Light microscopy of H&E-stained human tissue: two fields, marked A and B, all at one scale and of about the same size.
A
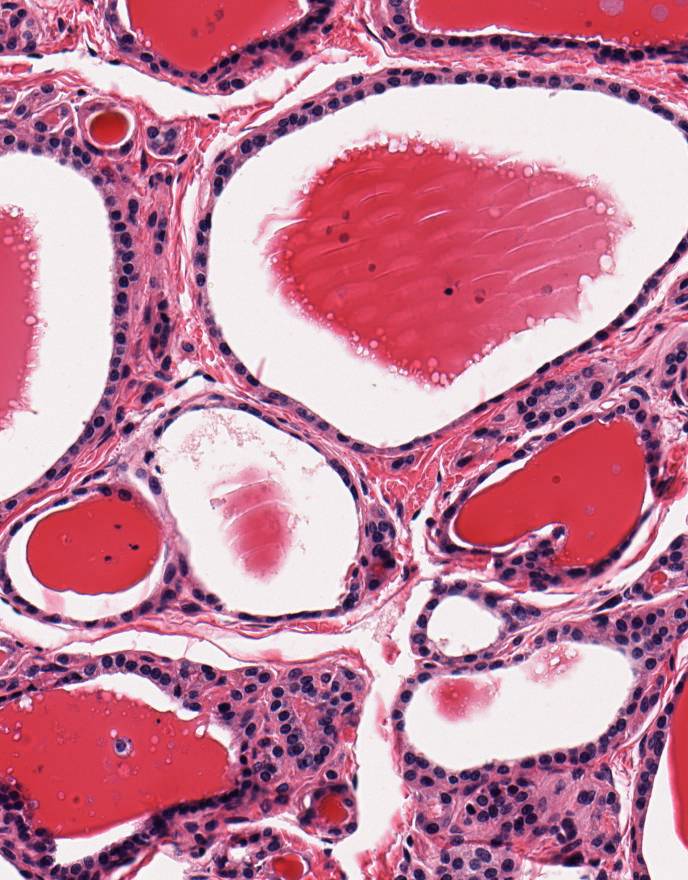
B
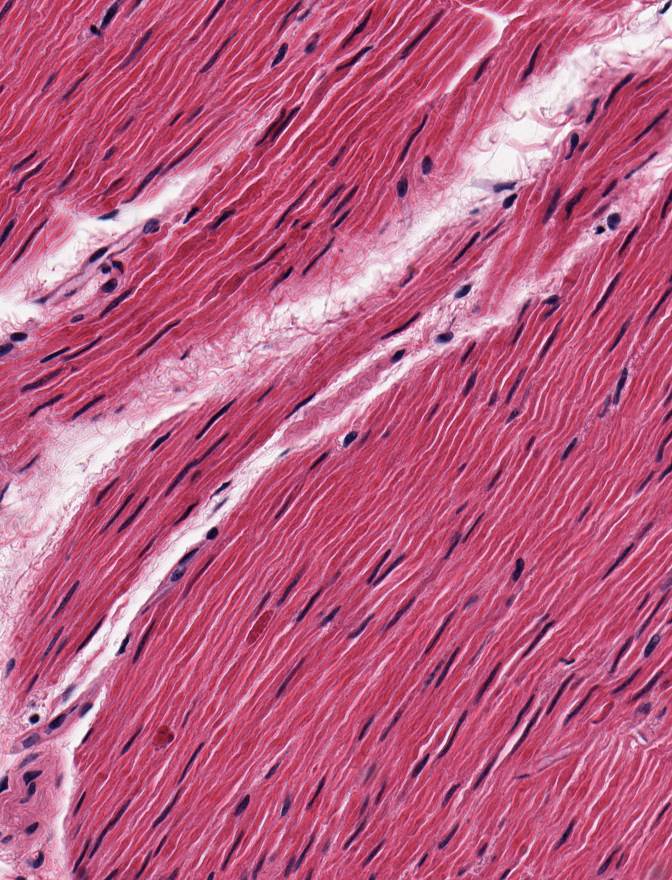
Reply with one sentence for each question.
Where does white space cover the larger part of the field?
Field A has more white space.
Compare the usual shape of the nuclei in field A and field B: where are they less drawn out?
It is field A whose nuclei are the rounder.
